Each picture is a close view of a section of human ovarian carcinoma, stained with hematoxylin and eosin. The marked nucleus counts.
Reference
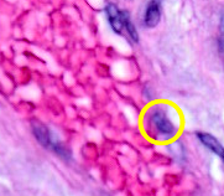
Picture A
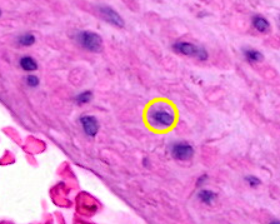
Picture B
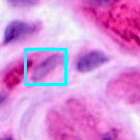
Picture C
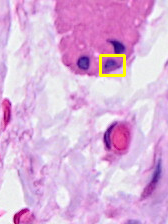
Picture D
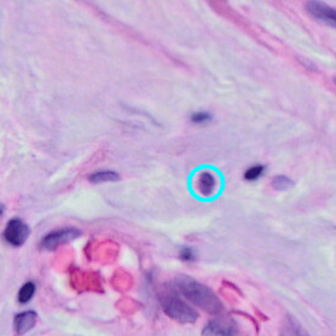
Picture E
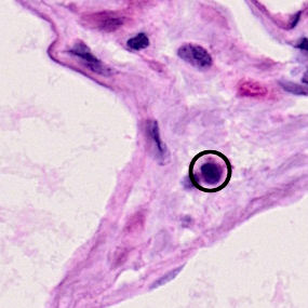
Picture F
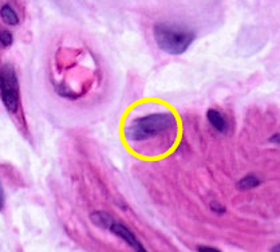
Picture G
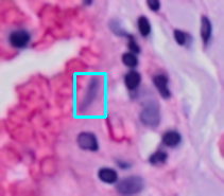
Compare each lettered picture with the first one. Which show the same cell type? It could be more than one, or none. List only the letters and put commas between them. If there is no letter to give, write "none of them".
B, G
